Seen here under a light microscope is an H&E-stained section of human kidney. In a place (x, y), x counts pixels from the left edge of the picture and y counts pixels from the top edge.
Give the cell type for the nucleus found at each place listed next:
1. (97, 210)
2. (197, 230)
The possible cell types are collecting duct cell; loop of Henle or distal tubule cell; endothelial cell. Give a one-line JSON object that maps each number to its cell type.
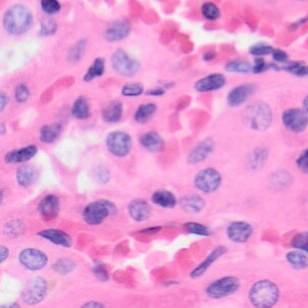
{"1": "loop of Henle or distal tubule cell", "2": "endothelial cell"}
